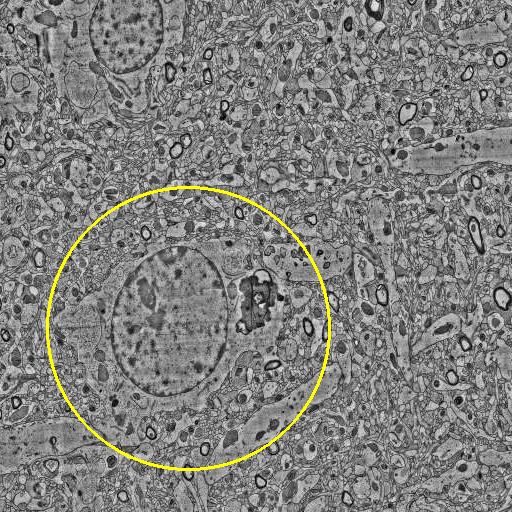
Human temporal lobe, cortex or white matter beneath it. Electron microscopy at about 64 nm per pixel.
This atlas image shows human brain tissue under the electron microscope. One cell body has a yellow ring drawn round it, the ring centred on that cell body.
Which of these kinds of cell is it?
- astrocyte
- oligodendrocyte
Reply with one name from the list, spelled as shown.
astrocyte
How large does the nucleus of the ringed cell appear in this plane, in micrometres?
Approximately 10 by 7 micrometers in this plane.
